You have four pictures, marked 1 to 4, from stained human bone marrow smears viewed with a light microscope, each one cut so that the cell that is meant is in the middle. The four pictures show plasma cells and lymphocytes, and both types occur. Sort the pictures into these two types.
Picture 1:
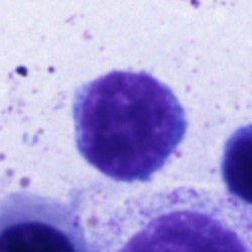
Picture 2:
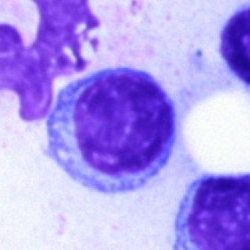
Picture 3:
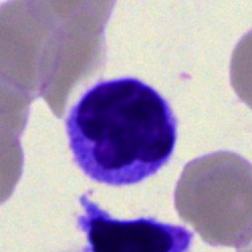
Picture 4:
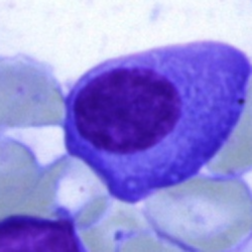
1: lymphocyte
2: lymphocyte
3: lymphocyte
4: plasma cell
